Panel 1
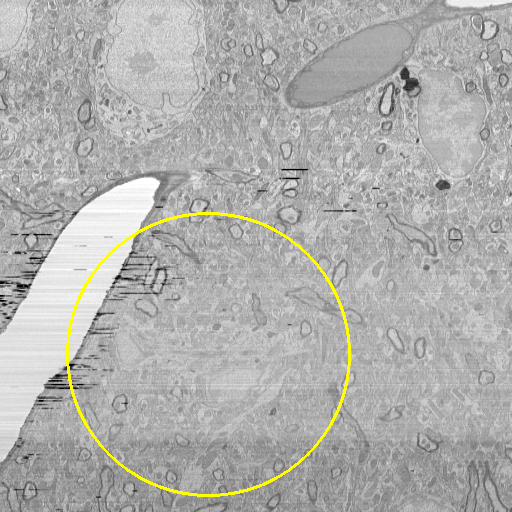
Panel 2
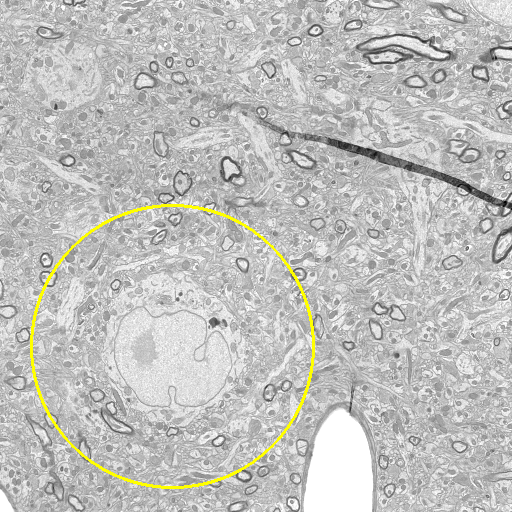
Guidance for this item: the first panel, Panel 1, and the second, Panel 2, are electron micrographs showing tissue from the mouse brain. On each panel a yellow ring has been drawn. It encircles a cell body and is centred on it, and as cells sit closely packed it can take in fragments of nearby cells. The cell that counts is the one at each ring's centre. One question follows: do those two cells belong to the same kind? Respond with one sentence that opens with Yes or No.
No, the cells at the ring centres in Panel 1 and Panel 2 are of two kinds.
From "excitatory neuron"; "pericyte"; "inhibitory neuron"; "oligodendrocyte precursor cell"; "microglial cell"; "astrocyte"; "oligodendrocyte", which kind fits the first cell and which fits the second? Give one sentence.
The cell marked in the first picture is an oligodendrocyte precursor cell, and the one marked in the second is an excitatory neuron.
